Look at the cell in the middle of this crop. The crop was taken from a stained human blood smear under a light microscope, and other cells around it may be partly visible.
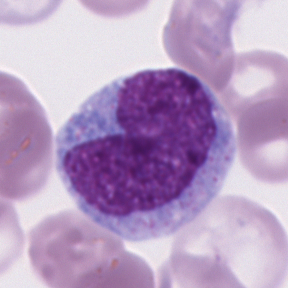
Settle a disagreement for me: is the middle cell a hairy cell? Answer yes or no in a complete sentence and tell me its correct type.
No, instead of a hairy cell, the centred cell represents a monocyte.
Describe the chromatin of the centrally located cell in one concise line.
Coarse clumps are absent, and the chromatin is fine throughout.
